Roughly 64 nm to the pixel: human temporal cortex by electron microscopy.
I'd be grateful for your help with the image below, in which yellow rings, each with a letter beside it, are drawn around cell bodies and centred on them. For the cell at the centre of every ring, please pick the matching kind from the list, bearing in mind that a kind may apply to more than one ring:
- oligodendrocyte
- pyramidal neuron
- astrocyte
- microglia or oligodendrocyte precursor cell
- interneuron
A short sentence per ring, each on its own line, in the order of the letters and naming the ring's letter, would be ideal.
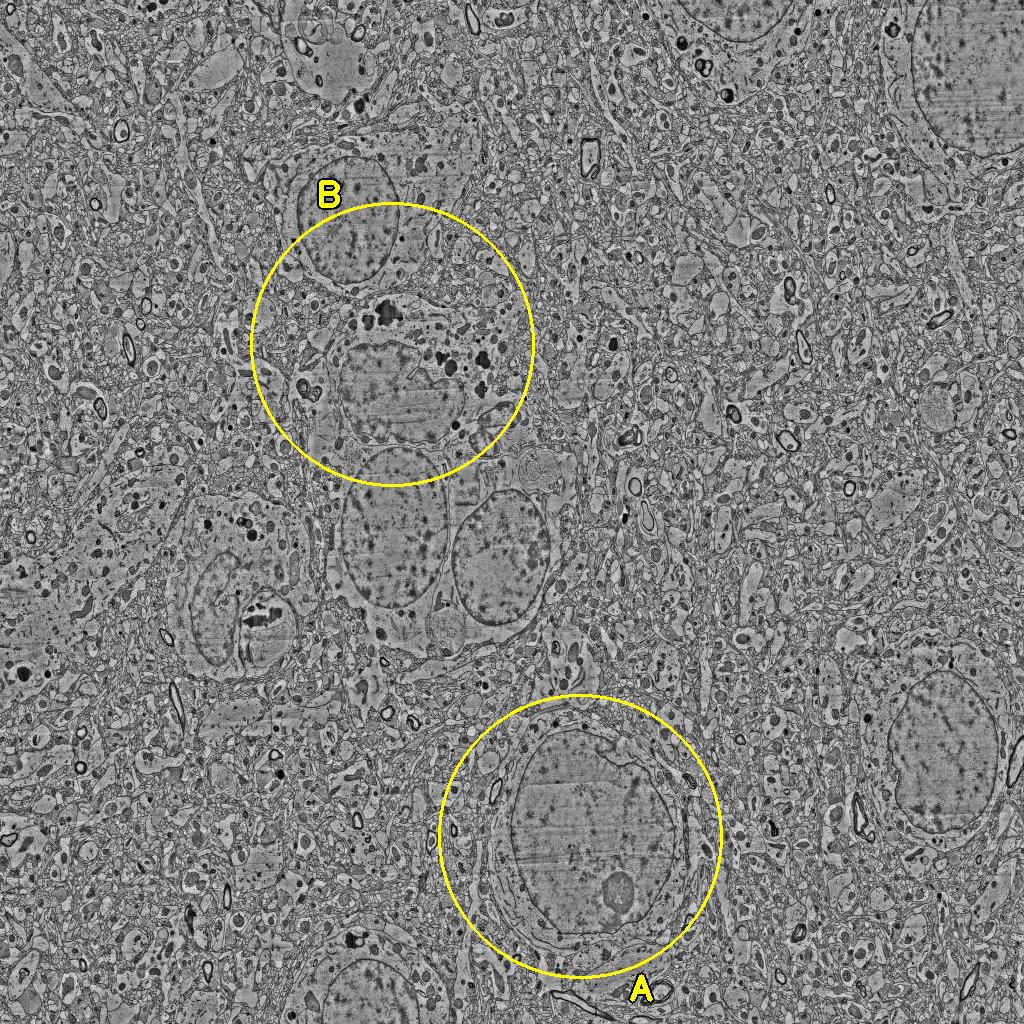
Inside ring A, the central cell is a pyramidal neuron.
Inside ring B, the central cell is an interneuron.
